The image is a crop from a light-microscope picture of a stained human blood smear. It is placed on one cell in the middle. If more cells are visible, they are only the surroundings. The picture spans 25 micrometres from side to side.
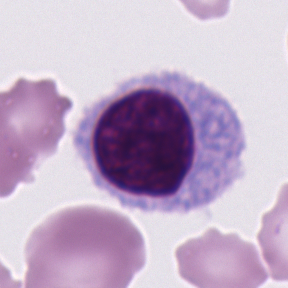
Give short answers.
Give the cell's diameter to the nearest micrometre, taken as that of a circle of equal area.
13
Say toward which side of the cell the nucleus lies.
left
